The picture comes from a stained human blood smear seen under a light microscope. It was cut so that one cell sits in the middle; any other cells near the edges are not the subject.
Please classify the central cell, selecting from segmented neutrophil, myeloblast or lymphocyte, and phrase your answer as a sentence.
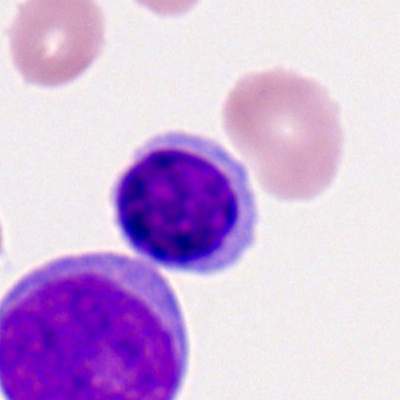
In the middle of this smear crop is a lymphocyte.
